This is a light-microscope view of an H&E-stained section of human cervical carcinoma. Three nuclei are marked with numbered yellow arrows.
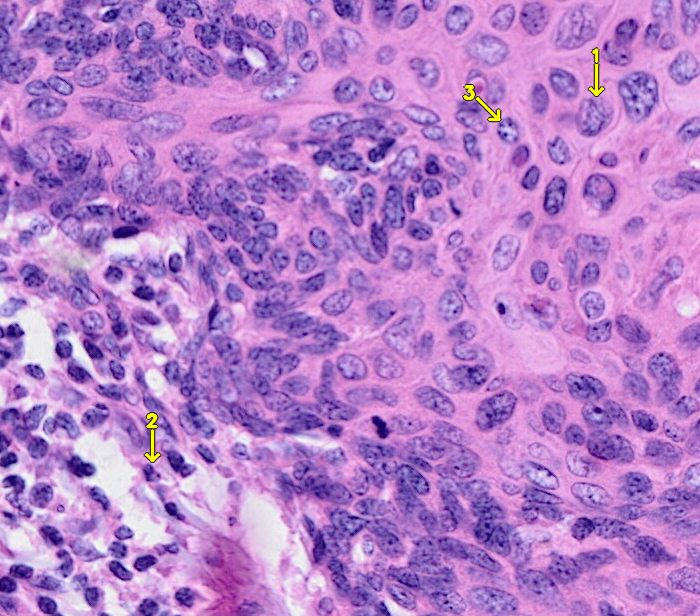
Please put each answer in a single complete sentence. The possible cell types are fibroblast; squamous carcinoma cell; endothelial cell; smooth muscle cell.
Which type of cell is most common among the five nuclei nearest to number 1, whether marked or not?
Squamous carcinoma cells account for more than half of the five nuclei nearest to number 1.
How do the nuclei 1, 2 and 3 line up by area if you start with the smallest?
By area, going up from the smallest, they rank 2, 3, 1.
